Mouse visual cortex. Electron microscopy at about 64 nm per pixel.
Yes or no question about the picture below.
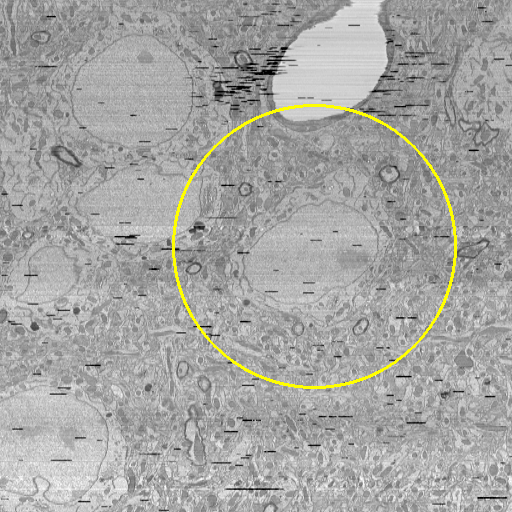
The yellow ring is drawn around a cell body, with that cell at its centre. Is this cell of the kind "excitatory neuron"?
yes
